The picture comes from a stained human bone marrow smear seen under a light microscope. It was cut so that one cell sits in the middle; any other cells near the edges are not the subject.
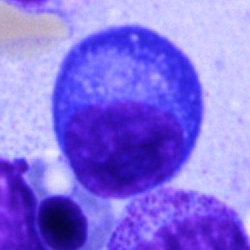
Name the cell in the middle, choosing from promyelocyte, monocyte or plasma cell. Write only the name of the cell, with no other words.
plasma cell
